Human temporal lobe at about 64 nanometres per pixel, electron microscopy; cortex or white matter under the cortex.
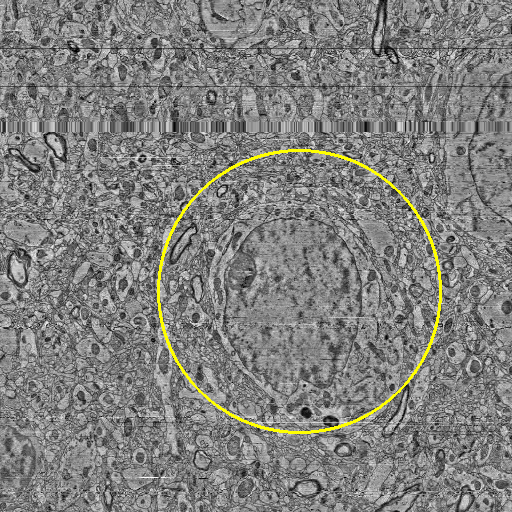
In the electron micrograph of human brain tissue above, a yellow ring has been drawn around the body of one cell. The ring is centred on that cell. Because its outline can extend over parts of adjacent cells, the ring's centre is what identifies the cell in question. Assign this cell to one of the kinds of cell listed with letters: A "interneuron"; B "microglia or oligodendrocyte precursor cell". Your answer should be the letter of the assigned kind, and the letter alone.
A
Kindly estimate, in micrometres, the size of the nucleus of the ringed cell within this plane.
The nucleus is approximately 11 micrometers long by 9 micrometers wide in this plane.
